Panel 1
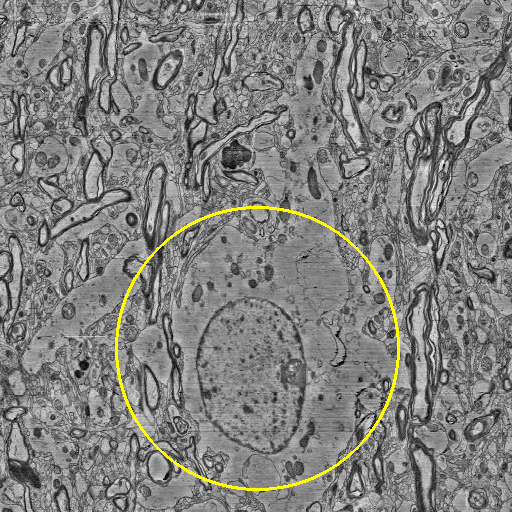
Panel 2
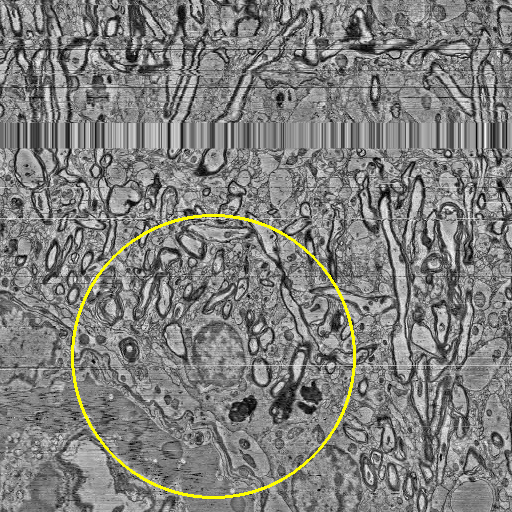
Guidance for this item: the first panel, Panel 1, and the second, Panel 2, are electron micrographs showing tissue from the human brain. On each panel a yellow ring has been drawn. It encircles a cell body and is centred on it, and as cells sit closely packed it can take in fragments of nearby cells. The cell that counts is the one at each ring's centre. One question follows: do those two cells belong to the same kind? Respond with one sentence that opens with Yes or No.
No, the cells at the ring centres in Panel 1 and Panel 2 are of two kinds.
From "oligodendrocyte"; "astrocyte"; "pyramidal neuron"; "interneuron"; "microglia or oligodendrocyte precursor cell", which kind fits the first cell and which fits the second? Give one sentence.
The cell marked in the first picture is an astrocyte, and the one marked in the second is an oligodendrocyte.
